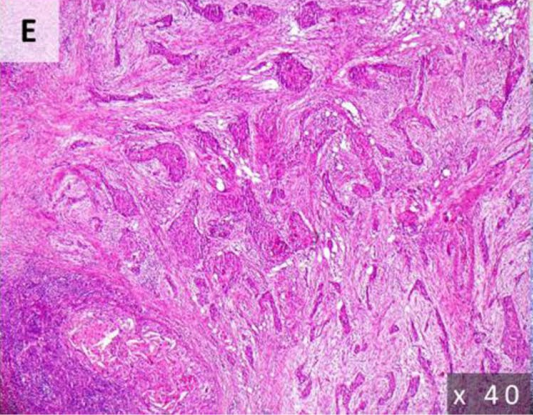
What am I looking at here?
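This low-power section shows a carcinoma deposit made of many irregular nests, cords and strands of pink-staining epithelial tumour cells. The nests vary in size and shape and have angular, infiltrating outlines. They are set within an abundant, pale pink fibrous stroma that separates them from one another. At the lower left lies a dense, deep purple area packed with small cells, in keeping with residual lymphoid tissue beside the tumour.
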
